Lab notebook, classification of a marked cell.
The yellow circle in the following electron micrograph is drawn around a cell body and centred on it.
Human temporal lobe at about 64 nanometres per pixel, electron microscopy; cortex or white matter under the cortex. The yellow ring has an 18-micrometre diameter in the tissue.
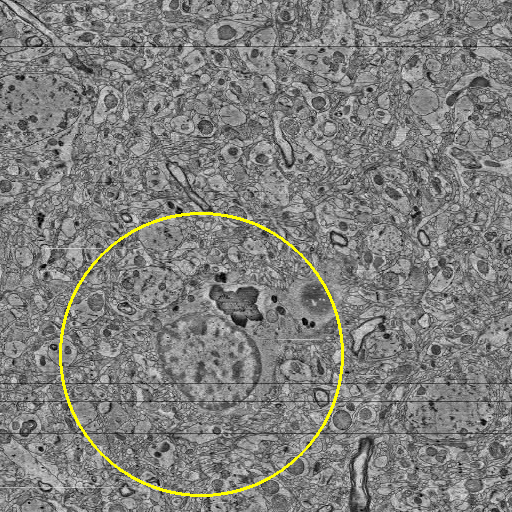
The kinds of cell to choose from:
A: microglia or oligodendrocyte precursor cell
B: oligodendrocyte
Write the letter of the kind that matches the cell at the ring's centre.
B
